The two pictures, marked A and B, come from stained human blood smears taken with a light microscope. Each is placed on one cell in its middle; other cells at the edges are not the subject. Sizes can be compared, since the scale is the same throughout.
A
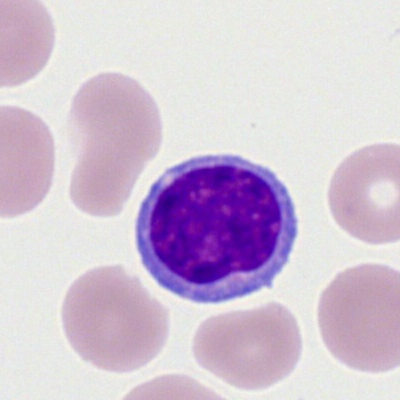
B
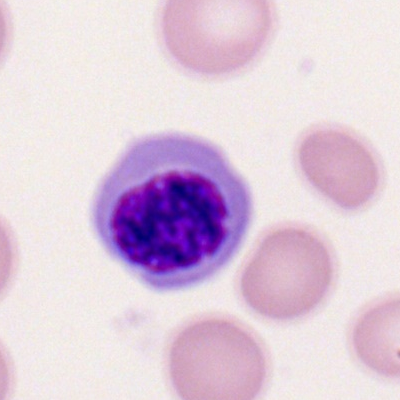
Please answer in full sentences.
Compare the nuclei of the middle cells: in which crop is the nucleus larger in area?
It is the nucleus in crop A, about 1.5 times as large in area as the one in crop B.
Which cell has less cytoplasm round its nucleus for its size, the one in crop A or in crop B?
Of the two, the nucleus in crop A makes up the greater part of its cell.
